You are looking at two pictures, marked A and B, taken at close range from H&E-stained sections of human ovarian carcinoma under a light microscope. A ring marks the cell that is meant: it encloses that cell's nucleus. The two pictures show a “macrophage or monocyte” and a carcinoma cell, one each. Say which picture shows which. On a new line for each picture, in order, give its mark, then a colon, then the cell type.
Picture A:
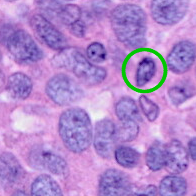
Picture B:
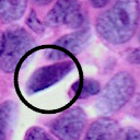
A: macrophage or monocyte
B: carcinoma cell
